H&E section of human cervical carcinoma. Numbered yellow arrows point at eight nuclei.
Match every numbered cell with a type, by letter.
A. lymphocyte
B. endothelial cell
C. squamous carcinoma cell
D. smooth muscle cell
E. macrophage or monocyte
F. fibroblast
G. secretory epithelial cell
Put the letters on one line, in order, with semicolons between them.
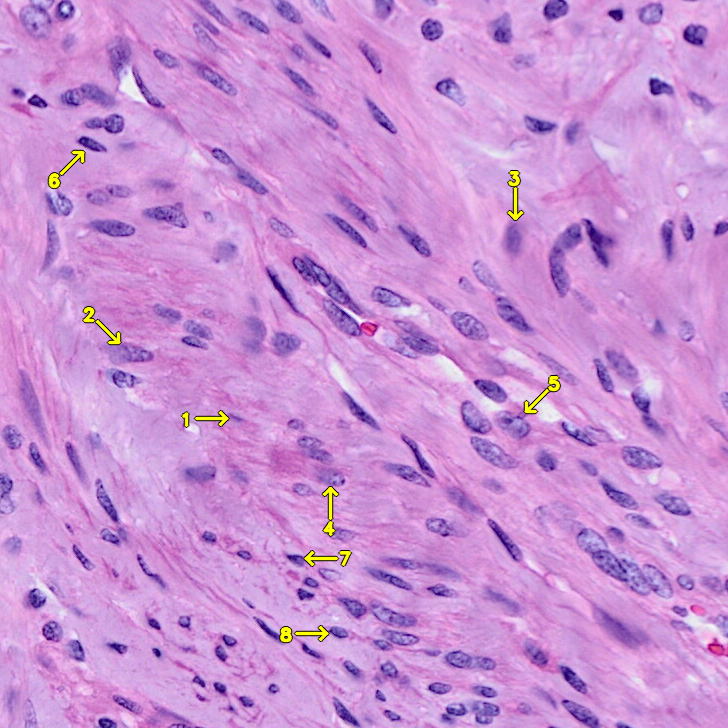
D; D; F; D; B; F; D; D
